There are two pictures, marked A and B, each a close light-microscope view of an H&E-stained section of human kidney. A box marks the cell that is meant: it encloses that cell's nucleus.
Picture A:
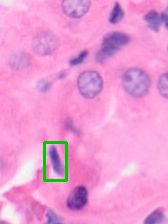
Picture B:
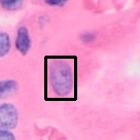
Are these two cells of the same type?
no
